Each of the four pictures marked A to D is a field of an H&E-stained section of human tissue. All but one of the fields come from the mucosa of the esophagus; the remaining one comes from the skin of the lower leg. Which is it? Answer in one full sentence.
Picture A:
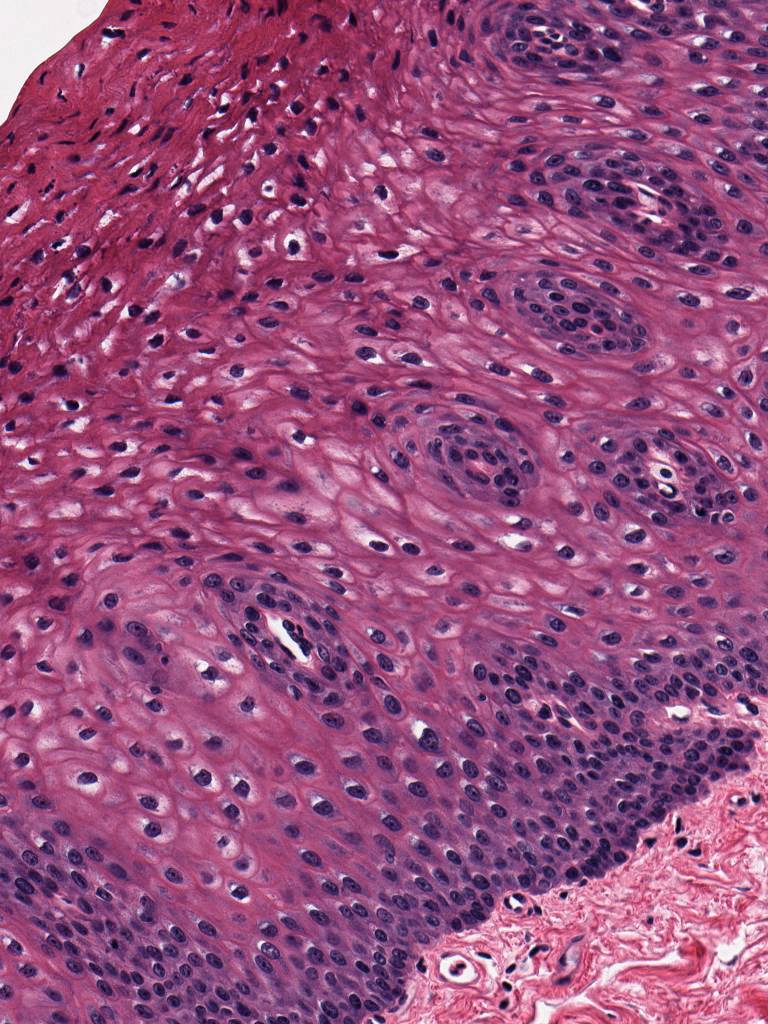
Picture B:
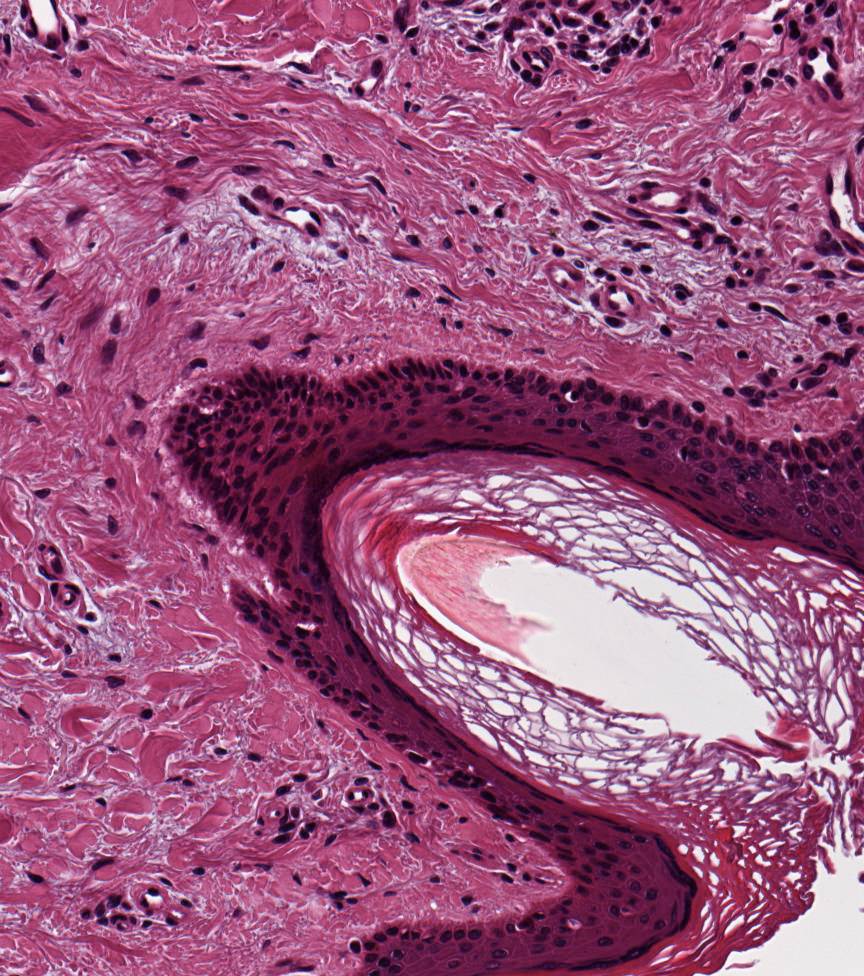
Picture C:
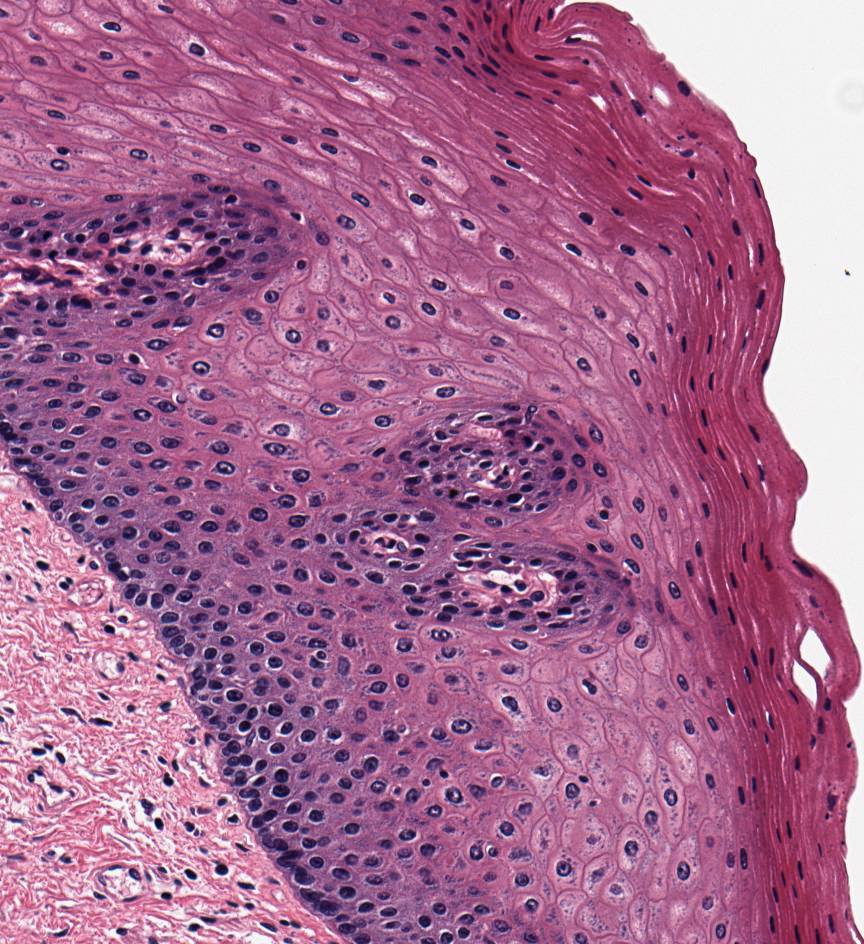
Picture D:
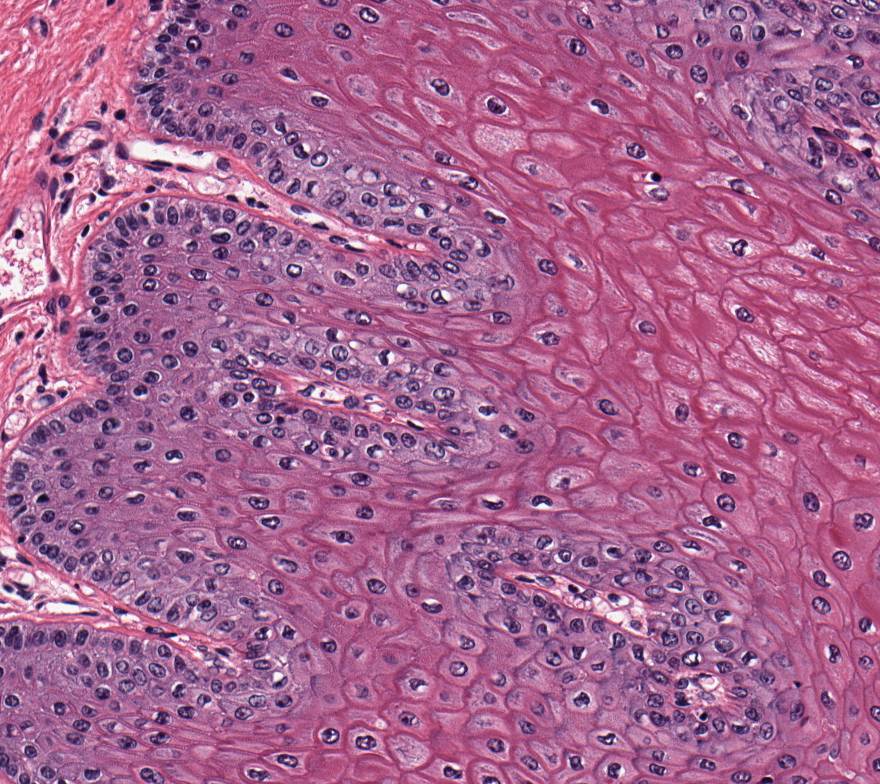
It is picture B that comes from the skin of the lower leg.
